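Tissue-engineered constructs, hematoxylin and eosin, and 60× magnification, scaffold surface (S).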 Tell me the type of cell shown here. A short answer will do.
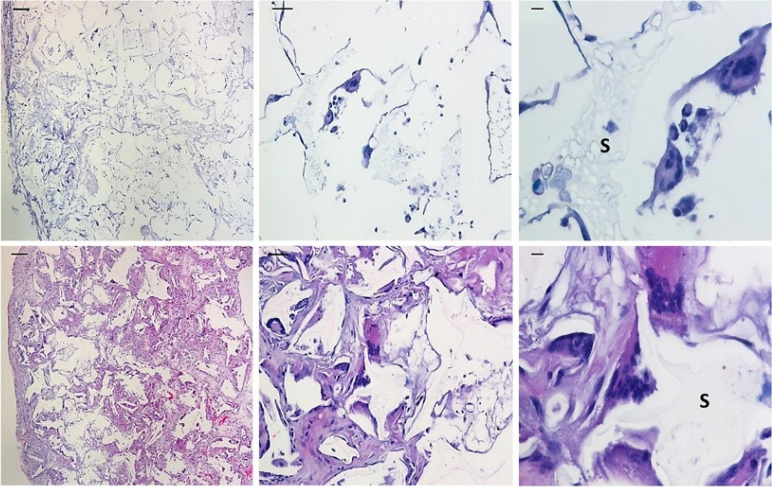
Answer: Multinucleated giant cells.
